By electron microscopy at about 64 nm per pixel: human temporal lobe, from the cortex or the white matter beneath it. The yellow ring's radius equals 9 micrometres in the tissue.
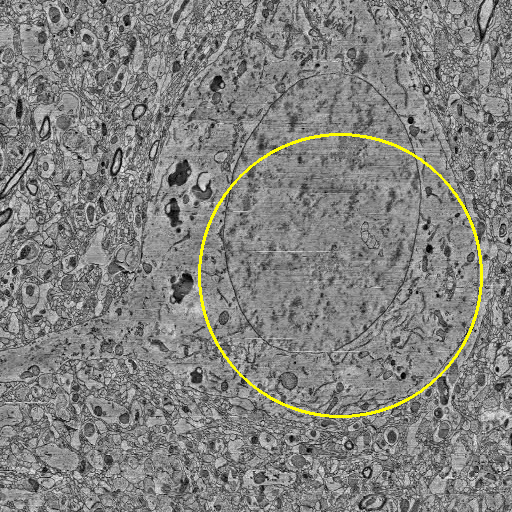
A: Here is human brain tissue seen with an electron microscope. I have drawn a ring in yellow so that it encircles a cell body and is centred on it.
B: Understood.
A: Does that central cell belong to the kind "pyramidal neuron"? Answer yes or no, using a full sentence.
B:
Yes, the central cell inside your yellow ring belongs to that kind.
